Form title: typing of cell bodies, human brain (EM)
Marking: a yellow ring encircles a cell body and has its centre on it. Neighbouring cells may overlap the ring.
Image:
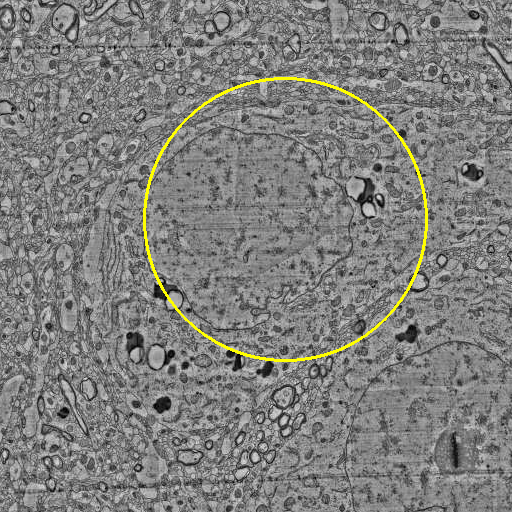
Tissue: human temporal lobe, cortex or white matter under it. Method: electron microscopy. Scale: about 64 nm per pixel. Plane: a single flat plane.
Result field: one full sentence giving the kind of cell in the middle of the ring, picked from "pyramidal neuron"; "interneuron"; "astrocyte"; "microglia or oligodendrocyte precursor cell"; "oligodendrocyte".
In the picture, the ring is centred on a pyramidal neuron, whose cell body it encircles.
